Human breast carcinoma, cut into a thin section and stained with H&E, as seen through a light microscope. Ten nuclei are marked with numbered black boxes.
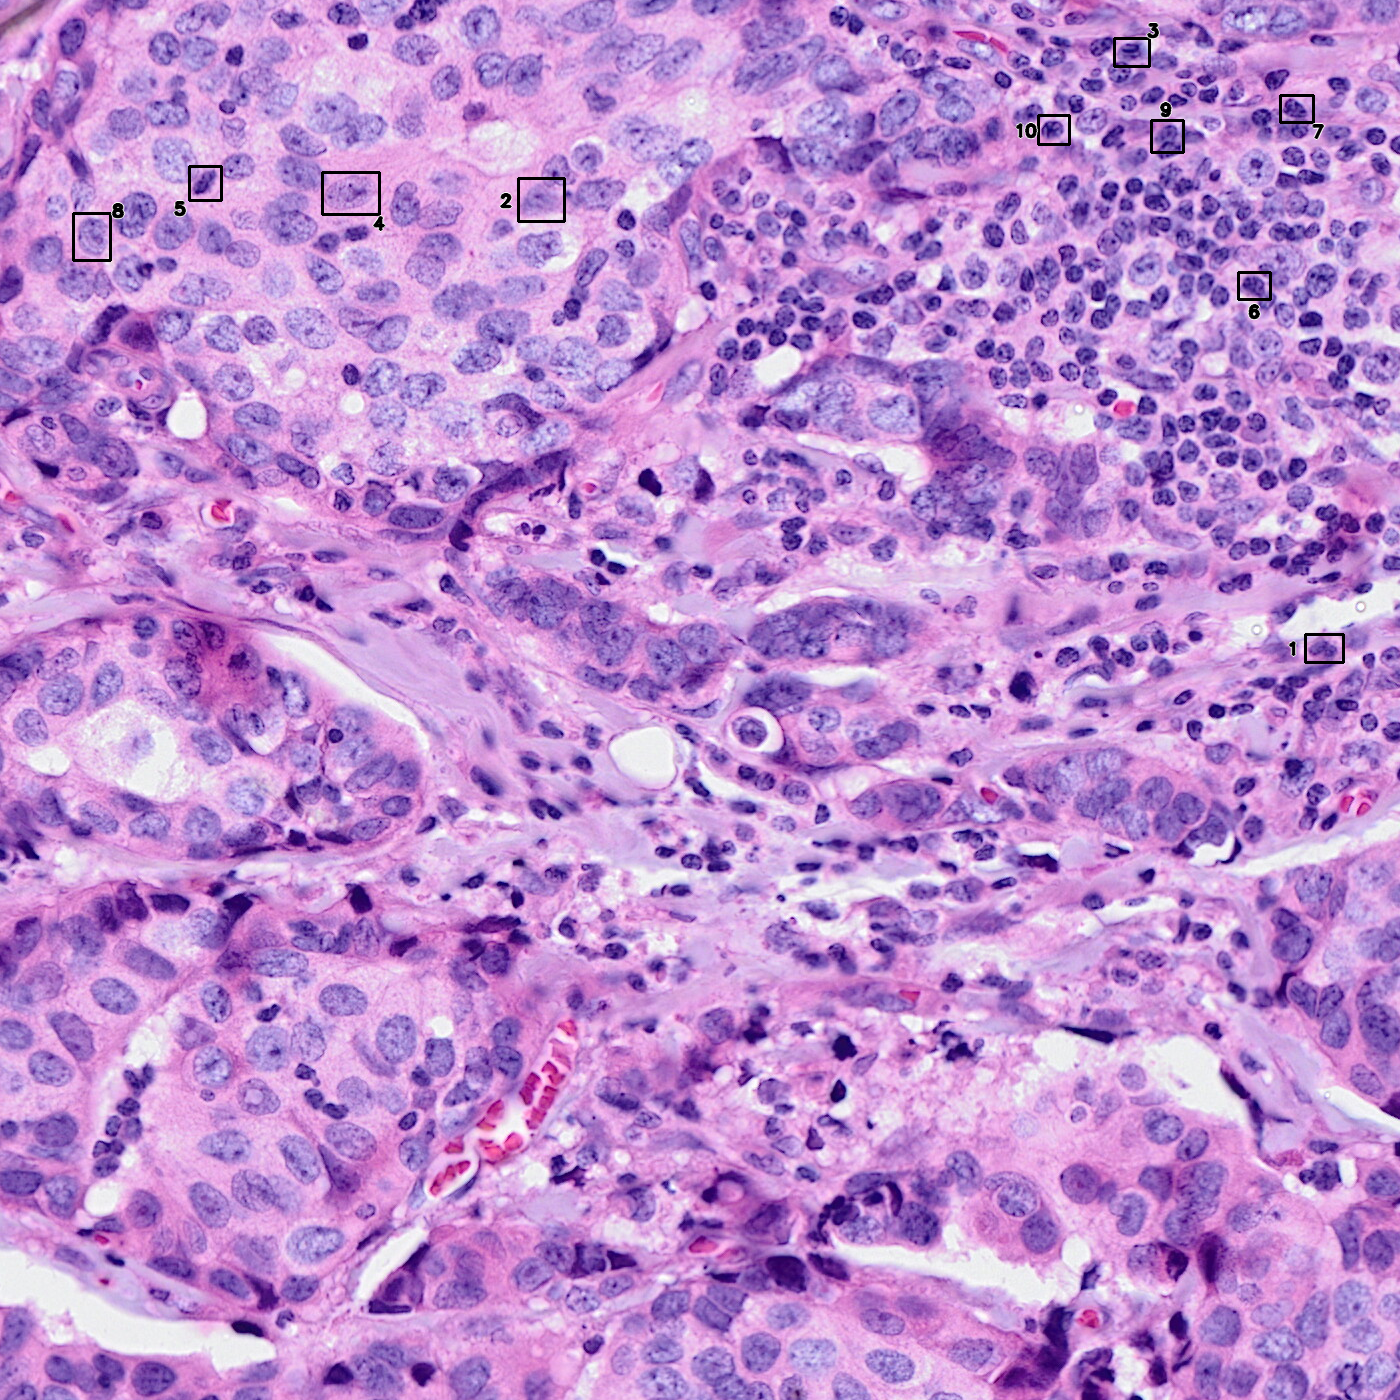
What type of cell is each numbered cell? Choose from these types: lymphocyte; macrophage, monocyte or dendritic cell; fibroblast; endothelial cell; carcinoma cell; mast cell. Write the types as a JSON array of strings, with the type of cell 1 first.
["mast cell", "carcinoma cell", "lymphocyte", "carcinoma cell", "lymphocyte", "lymphocyte", "lymphocyte", "carcinoma cell", "lymphocyte", "lymphocyte"]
